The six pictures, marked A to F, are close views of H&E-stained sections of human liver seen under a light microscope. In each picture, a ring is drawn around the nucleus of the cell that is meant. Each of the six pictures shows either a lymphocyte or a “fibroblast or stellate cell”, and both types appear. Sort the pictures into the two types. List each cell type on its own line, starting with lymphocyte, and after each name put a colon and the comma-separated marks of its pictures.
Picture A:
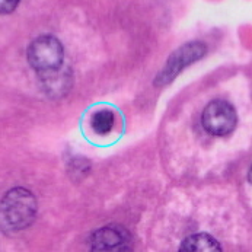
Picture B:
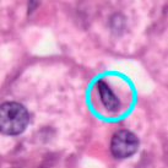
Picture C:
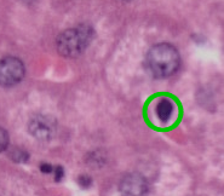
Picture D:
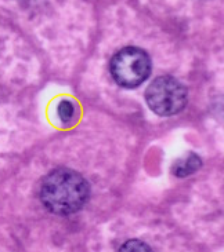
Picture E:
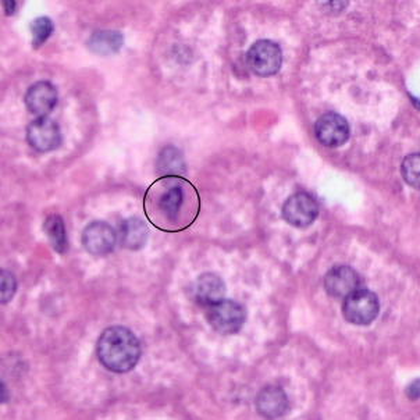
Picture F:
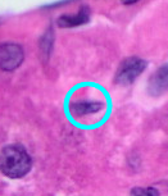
lymphocyte: A, C, D
fibroblast or stellate cell: B, E, F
